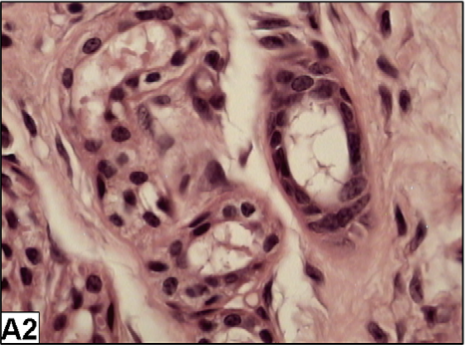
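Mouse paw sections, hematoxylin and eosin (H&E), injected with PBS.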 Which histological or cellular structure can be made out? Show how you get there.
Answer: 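Sweat glands. Cross-sectioned small tubules lined by cuboidal cells with round nuclei. Tubules have pale, foamy-looking lumens. Tubules are surrounded by pink connective tissue.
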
